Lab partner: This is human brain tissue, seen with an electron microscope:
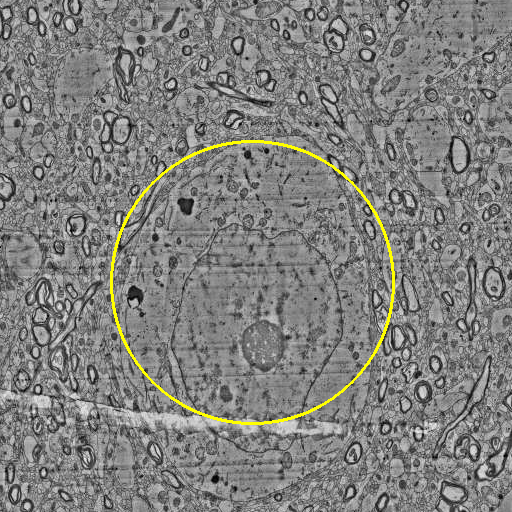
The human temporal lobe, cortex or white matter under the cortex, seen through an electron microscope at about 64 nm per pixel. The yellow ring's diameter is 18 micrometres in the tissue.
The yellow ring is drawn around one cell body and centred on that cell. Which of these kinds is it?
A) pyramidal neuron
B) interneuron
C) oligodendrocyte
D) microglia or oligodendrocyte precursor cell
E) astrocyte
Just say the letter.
A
